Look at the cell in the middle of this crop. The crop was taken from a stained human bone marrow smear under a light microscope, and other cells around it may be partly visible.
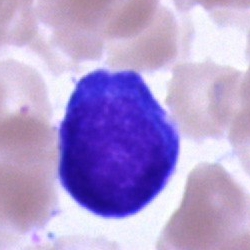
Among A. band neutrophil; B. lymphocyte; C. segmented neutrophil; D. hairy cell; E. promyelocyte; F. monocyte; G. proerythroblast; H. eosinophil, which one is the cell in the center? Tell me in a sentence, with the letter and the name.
Correctly, option G names the cell in the middle a proerythroblast.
